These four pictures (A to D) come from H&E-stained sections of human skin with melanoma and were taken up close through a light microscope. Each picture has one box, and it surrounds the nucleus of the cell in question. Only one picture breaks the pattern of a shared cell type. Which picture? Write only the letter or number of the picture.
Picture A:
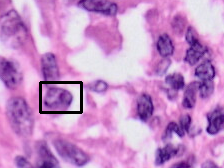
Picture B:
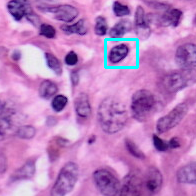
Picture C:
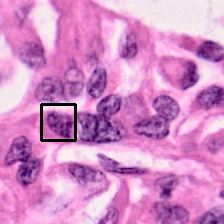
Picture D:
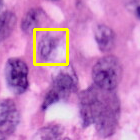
B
